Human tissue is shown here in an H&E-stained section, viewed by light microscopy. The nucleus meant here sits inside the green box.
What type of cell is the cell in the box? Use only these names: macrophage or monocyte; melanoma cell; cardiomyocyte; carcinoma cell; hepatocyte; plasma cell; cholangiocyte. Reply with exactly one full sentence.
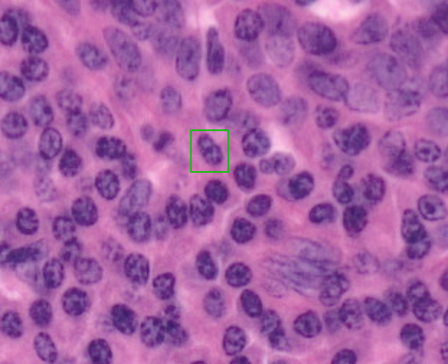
In the context of this tissue, the cell in the box is a plasma cell.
